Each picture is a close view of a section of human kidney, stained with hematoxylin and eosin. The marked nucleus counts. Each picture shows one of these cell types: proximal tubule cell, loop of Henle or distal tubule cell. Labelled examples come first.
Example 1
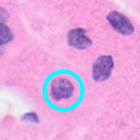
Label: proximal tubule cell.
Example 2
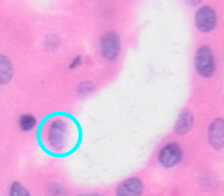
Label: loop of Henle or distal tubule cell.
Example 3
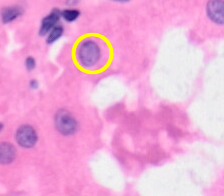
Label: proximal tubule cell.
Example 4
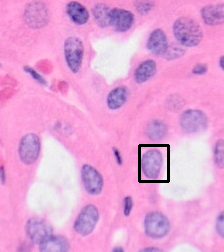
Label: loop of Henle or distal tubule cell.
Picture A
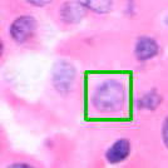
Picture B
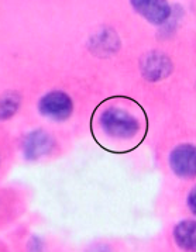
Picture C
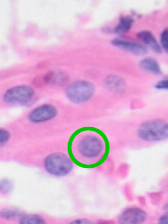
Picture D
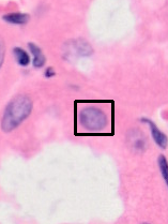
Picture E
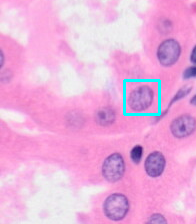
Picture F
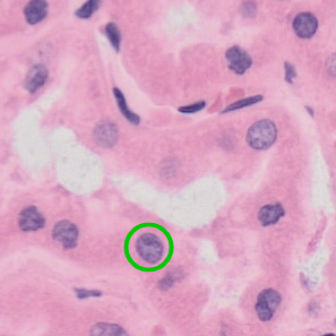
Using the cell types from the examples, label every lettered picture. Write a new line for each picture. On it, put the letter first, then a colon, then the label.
A: loop of Henle or distal tubule cell.
B: loop of Henle or distal tubule cell.
C: loop of Henle or distal tubule cell.
D: proximal tubule cell.
E: proximal tubule cell.
F: proximal tubule cell.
